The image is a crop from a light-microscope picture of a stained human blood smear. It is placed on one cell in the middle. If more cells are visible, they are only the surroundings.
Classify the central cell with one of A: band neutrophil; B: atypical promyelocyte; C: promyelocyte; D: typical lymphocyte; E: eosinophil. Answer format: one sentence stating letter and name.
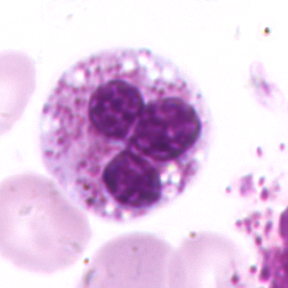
The cell in the middle is an eosinophil, and so option E is correct.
